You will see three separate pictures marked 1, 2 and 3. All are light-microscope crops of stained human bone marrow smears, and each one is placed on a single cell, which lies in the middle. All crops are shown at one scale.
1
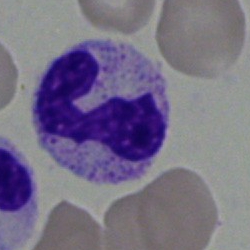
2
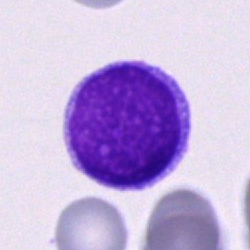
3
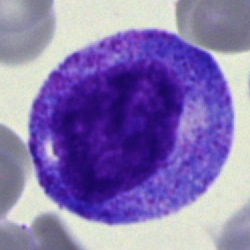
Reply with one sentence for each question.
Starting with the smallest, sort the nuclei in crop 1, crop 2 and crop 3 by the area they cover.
The order is 1, 2, 3, beginning with the smallest.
